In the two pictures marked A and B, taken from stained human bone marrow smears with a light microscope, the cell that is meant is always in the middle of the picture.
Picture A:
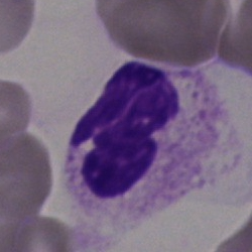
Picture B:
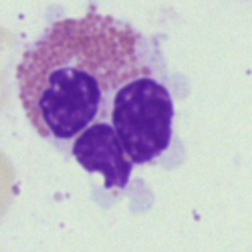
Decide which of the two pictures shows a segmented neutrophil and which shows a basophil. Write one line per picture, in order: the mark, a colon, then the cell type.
A: segmented neutrophil
B: basophil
